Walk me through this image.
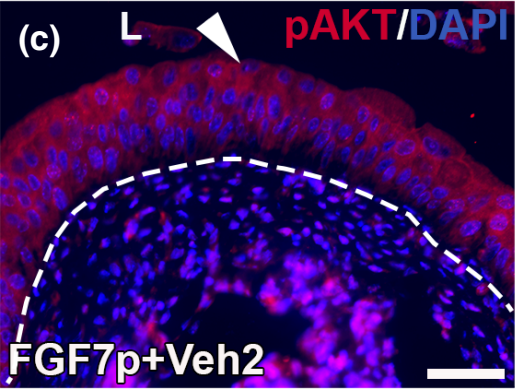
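This section shows a thick urothelium lining the lumen, with the stroma below a dashed boundary. The epithelium is several cell layers deep; its cells have round to oval blue nuclei and cytoplasm filled with red staining throughout, strongest toward the luminal surface, where large superficial cells form a dome-like layer. Beneath the boundary the stroma is loosely arranged, with scattered, smaller and often elongated nuclei, and a large irregular space surrounded by patchy pink-red material deeper in the tissue.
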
